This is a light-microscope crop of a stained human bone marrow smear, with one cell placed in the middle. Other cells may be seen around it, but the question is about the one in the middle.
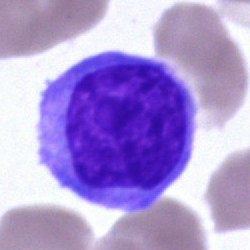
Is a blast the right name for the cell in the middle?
yes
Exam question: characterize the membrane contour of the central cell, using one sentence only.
A smooth outline is absent here, replaced by ragged stretches or projections.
